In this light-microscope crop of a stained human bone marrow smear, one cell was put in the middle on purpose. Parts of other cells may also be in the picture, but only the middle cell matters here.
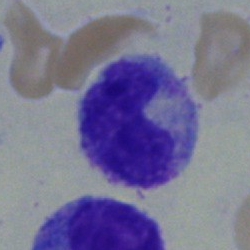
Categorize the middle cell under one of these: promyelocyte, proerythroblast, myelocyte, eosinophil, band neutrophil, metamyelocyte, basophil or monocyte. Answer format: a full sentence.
The cell in the exact centre of the crop is a metamyelocyte.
